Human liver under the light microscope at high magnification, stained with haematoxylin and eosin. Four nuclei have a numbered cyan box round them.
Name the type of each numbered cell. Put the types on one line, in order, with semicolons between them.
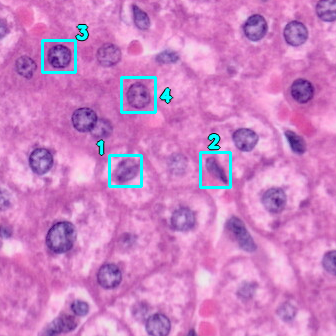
hepatocyte; endothelial cell; hepatocyte; hepatocyte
